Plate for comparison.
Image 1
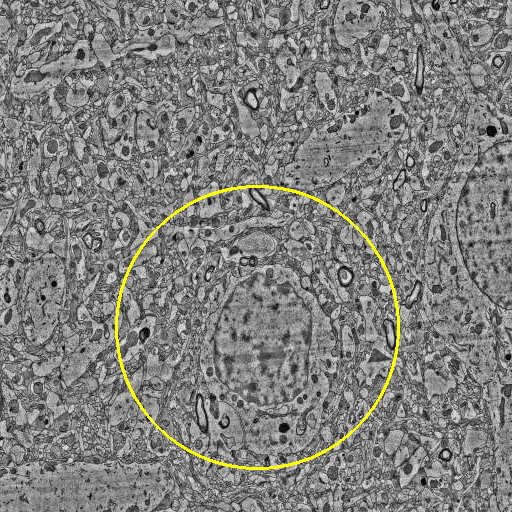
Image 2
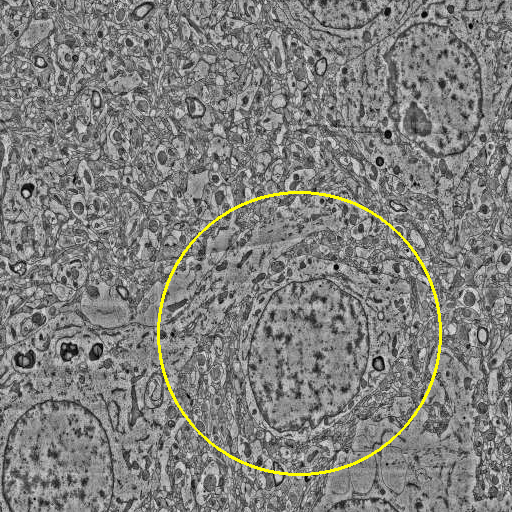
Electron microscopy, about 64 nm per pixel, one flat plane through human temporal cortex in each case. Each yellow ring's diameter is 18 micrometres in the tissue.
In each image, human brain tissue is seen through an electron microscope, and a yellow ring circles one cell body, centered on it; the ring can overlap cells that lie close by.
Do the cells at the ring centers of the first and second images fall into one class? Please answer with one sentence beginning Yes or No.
No, the first and second images show two classes of cell at the ring centers.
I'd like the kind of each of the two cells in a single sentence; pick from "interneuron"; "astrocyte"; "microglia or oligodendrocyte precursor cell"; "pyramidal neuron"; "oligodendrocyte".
The first ring marks an interneuron, and the second ring marks a pyramidal neuron.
